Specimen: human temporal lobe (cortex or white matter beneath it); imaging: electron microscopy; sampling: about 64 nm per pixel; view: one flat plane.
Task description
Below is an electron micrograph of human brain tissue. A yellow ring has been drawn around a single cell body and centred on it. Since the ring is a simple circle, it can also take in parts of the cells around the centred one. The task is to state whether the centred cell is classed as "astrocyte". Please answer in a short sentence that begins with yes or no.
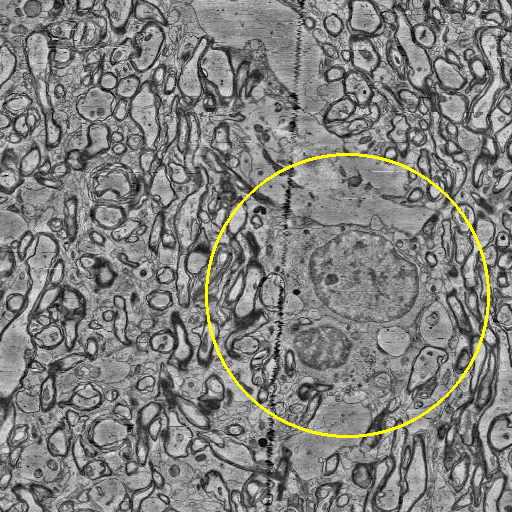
No, the centred cell is classed otherwise.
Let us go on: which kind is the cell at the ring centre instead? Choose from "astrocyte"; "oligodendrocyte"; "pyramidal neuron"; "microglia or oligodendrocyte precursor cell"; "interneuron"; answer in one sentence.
Sitting at the ring centre is an oligodendrocyte.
